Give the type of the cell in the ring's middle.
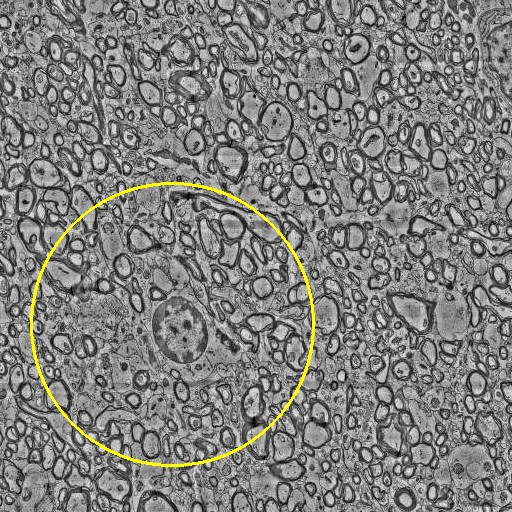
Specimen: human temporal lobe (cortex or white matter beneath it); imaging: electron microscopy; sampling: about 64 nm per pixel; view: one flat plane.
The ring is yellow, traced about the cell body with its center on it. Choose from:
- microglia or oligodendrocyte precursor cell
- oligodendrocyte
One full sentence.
Here, a microglial cell or oligodendrocyte precursor cell is the cell lying at the center of the yellow ring.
